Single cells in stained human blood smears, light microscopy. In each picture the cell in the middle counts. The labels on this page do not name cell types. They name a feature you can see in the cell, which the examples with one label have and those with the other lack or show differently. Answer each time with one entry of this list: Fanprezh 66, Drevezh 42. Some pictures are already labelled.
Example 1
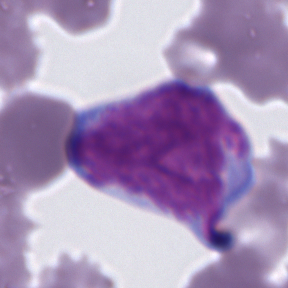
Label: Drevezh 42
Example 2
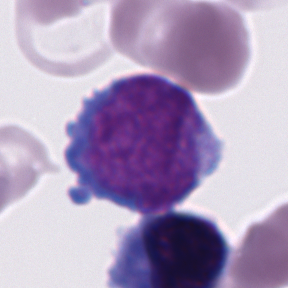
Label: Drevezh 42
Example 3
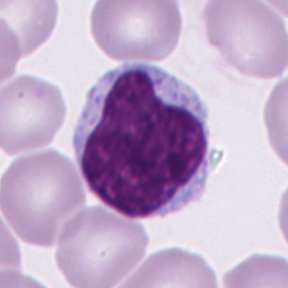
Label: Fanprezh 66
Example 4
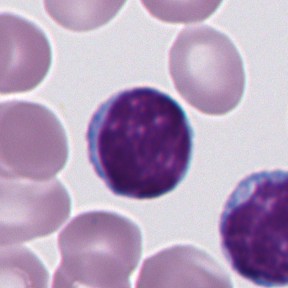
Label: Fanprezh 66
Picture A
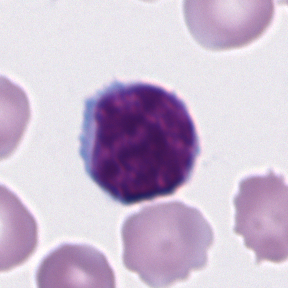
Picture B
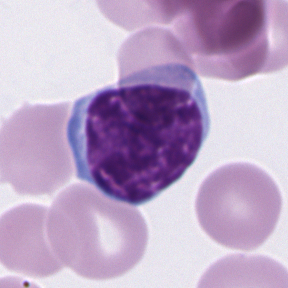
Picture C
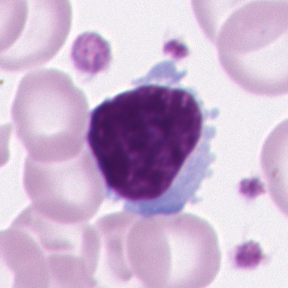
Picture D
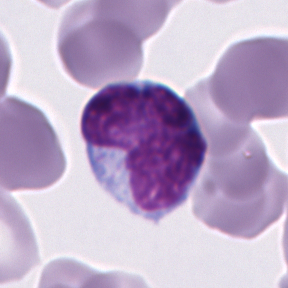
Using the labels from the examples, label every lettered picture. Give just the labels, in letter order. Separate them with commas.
Drevezh 42, Fanprezh 66, Drevezh 42, Fanprezh 66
